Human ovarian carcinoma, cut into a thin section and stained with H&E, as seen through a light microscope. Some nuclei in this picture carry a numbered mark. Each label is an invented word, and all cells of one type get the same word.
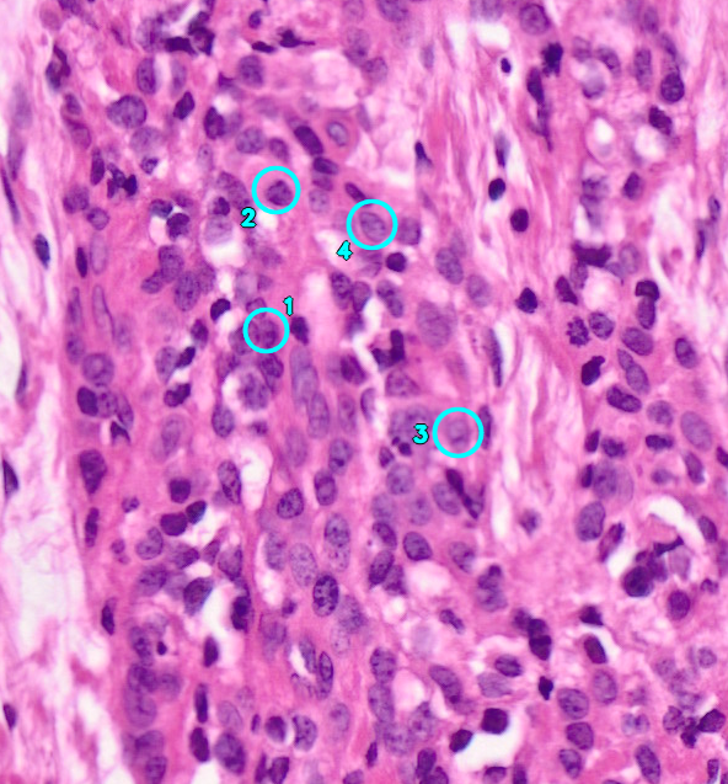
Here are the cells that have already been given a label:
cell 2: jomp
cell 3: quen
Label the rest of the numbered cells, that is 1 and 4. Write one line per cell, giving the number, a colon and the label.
1: quen
4: quen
